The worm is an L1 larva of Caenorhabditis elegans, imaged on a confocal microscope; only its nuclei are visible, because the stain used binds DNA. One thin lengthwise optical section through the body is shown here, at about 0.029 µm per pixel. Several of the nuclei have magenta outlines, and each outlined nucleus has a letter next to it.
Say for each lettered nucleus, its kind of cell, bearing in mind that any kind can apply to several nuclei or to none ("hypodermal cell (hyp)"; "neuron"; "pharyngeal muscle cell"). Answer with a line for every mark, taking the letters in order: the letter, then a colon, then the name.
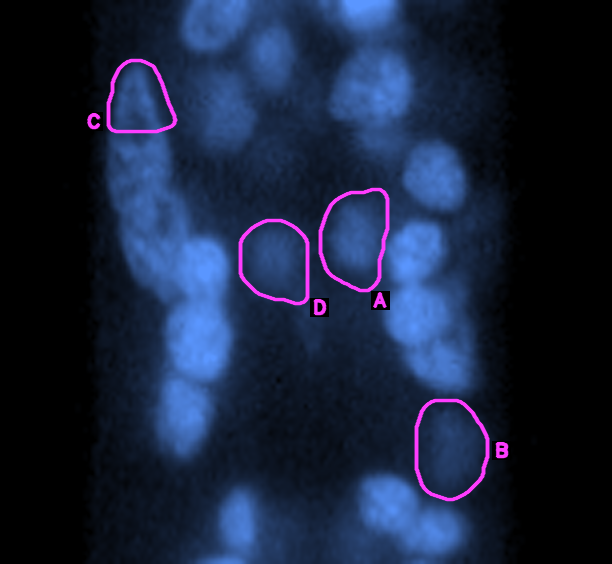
A: neuron
B: neuron
C: hypodermal cell (hyp)
D: neuron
